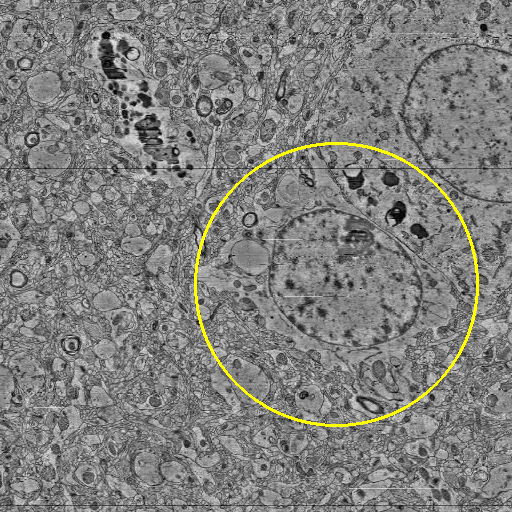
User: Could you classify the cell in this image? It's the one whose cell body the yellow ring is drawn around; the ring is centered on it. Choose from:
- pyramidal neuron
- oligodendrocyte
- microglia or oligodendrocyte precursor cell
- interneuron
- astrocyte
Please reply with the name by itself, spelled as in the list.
astrocyte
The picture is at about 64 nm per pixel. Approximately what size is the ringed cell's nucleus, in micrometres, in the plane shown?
The nucleus has a long axis of about 10 micrometres and a short axis of about 9 micrometres in this plane.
